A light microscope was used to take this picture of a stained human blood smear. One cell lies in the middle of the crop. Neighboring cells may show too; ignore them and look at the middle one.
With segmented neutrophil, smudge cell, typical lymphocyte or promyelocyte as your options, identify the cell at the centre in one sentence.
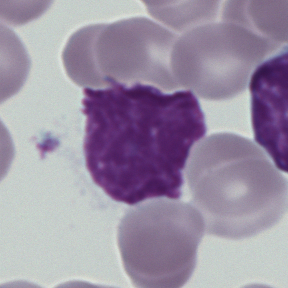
Positioned in the middle of the crop is a smudge cell.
